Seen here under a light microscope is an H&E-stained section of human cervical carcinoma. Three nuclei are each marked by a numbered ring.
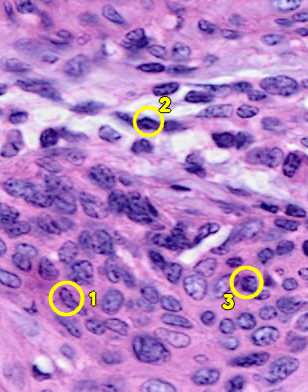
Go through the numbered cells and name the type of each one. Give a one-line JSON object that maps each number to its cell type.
{"1": "squamous carcinoma cell", "2": "lymphocyte", "3": "squamous carcinoma cell"}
